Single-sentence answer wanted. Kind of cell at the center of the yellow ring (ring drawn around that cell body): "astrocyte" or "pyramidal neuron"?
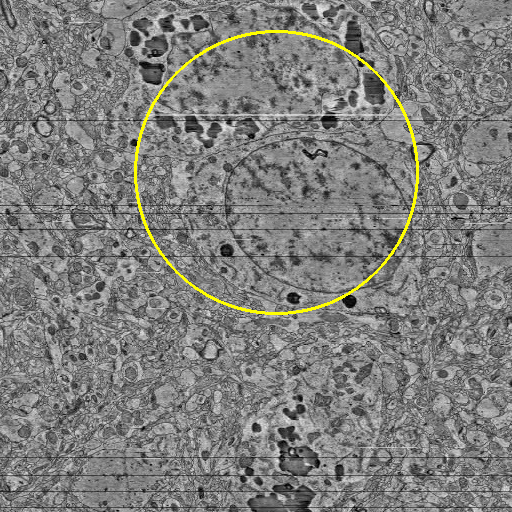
The cell centered in the ring is a pyramidal neuron.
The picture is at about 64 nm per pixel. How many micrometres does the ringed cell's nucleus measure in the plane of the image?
In this plane, the nucleus is roughly 12 by 10 micrometres.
